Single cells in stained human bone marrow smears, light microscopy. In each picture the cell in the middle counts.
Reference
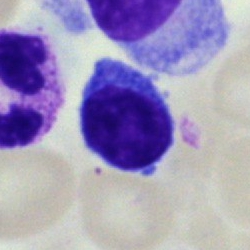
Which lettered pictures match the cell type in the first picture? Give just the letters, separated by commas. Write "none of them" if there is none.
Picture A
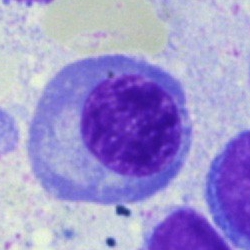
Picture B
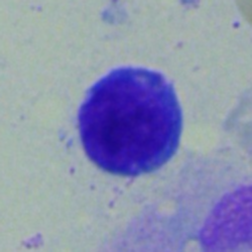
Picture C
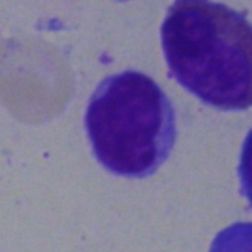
B, C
